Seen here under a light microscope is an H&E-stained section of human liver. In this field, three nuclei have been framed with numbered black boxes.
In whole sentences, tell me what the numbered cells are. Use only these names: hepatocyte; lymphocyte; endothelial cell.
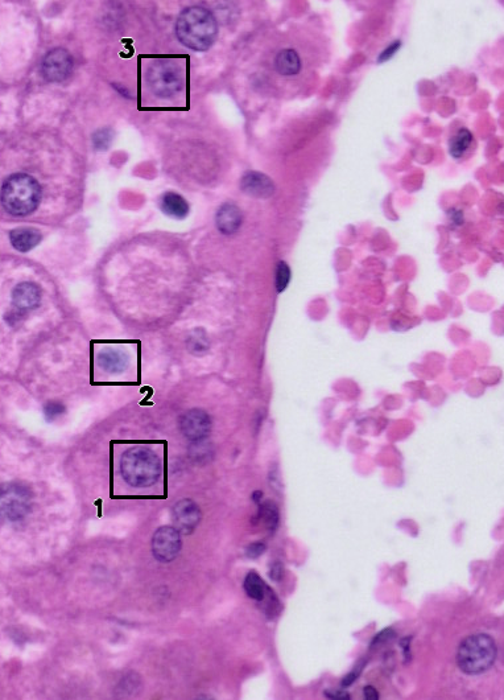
Cell 1 is a hepatocyte, cell 2 is an endothelial cell and cell 3 is a hepatocyte.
